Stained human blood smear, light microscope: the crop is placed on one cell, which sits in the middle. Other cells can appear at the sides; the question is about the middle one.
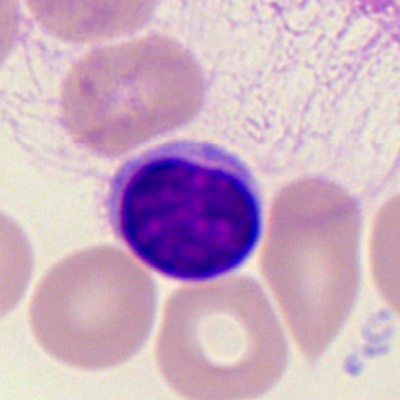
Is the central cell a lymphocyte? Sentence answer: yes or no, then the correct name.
Yes, the cell centred in the field of view is a lymphocyte.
